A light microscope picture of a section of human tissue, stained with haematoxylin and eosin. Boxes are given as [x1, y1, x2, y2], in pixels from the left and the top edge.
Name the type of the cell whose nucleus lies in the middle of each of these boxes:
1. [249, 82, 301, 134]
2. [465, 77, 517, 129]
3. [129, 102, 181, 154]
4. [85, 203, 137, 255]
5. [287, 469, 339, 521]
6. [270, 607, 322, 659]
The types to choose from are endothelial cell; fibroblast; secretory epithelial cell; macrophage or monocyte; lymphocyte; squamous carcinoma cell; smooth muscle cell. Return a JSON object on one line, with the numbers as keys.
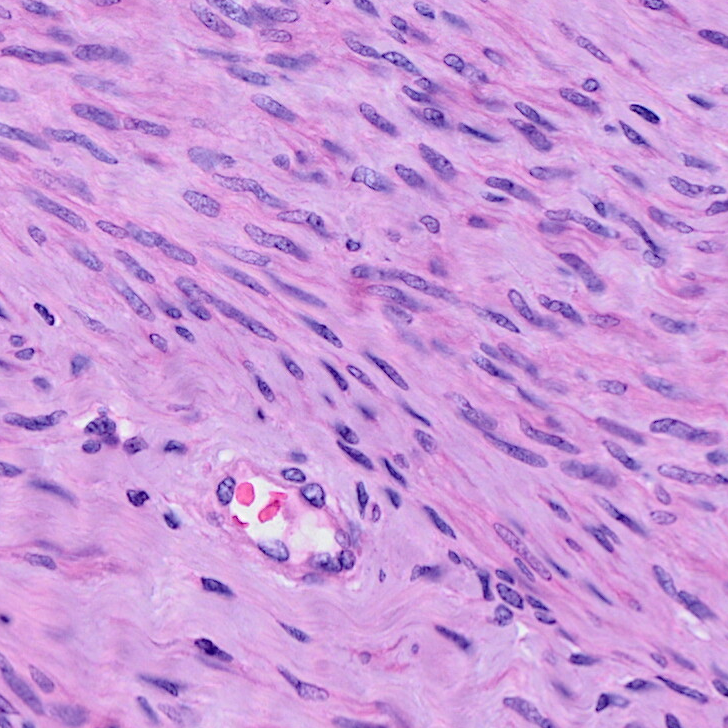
{"1": "smooth muscle cell", "2": "smooth muscle cell", "3": "smooth muscle cell", "4": "smooth muscle cell", "5": "endothelial cell", "6": "fibroblast"}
